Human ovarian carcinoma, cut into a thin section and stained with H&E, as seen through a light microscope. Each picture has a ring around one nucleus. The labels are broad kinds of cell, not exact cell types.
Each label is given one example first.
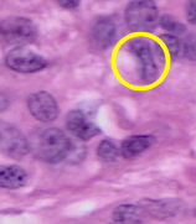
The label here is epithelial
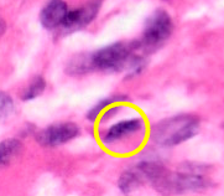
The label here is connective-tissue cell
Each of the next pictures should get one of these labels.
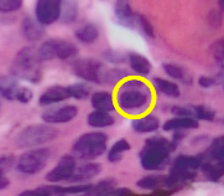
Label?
epithelial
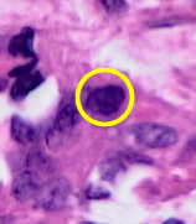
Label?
epithelial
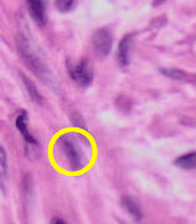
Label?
connective-tissue cell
